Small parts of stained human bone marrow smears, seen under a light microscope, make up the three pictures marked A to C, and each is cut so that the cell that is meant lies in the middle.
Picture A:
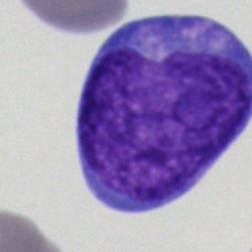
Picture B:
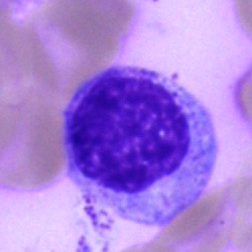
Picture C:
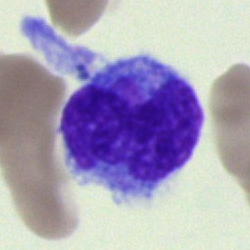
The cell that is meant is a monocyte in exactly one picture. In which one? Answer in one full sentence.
The cell in picture C is the monocyte.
